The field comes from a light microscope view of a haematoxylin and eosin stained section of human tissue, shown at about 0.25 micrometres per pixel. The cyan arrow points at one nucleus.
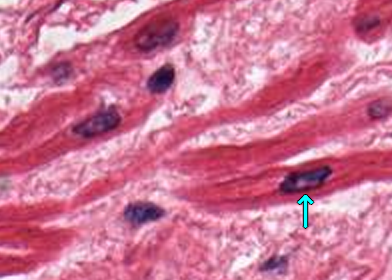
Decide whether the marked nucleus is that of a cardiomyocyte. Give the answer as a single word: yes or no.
yes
